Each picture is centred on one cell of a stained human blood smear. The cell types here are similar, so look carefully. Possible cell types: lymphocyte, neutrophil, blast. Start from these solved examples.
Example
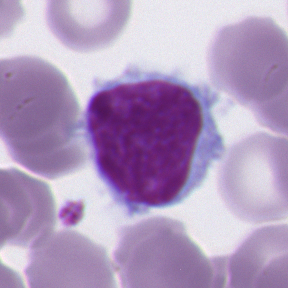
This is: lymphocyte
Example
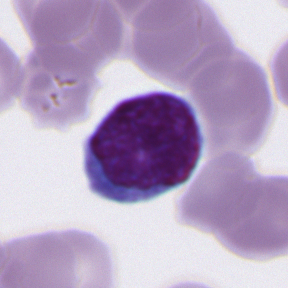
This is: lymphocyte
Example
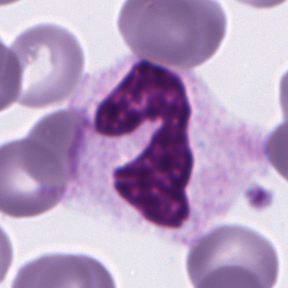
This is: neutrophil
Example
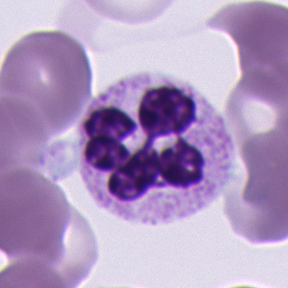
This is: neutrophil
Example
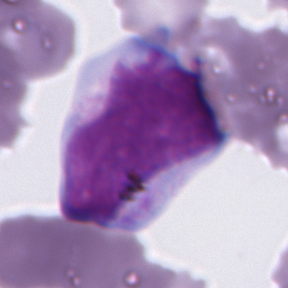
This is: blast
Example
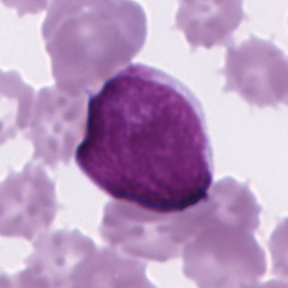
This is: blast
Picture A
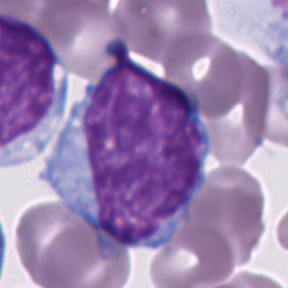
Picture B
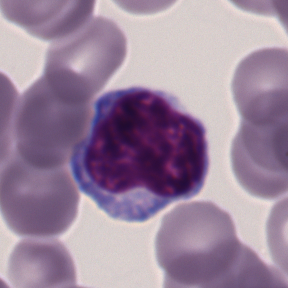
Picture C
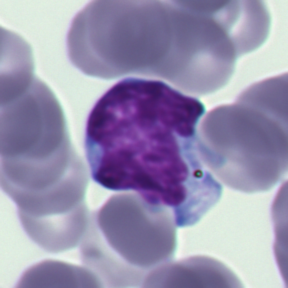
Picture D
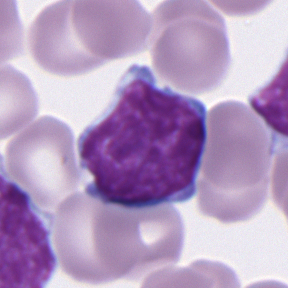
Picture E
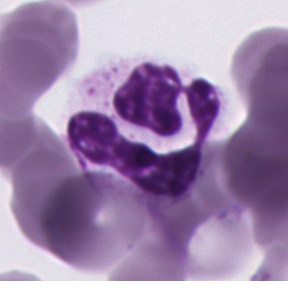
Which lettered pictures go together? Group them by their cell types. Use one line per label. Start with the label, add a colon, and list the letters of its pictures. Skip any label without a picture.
lymphocyte: B, C, D
neutrophil: E
blast: A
